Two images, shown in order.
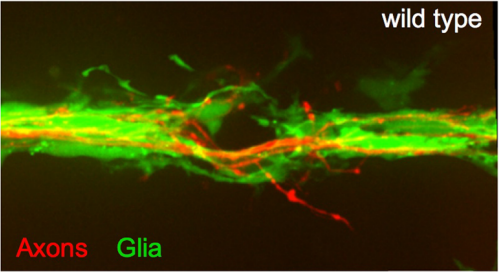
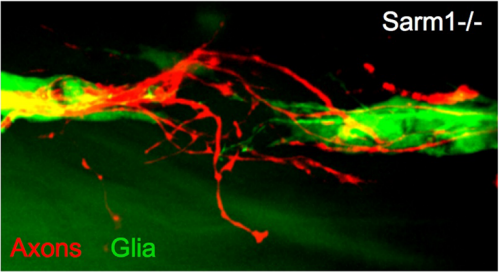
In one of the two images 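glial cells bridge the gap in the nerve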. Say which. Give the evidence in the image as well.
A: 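Second image: green glial cells fill the nerve on the left and right but the middle holds mainly red fibers with little green between them. First image: green glial cells run continuously through the middle alongside the red fibers. On this evidence: the first image.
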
